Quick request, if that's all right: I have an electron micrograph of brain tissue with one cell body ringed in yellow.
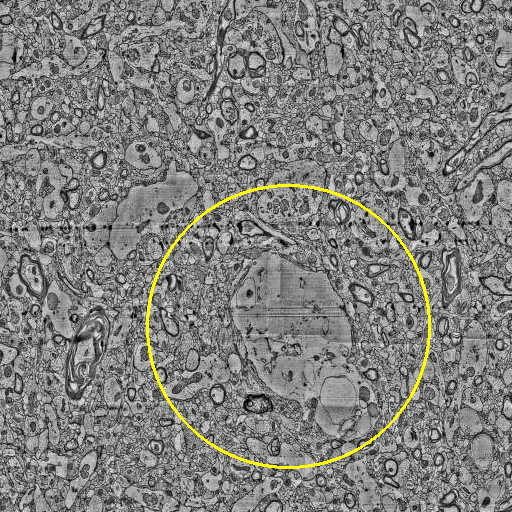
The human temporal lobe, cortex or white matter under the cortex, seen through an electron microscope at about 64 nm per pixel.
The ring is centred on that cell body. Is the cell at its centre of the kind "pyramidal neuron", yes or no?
no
